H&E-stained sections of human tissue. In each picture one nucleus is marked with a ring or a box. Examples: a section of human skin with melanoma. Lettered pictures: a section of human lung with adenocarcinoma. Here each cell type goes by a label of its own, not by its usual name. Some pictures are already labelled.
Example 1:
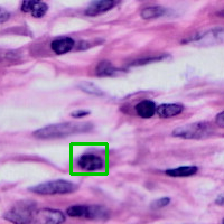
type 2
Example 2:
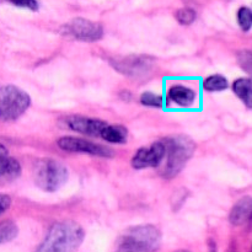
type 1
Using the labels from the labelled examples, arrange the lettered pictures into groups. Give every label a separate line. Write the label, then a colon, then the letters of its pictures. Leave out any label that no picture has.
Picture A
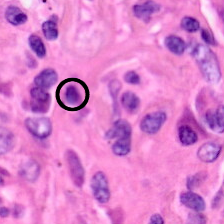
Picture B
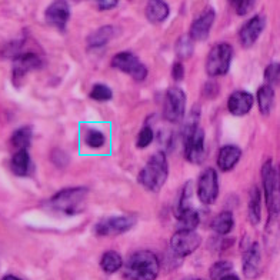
type 2: A
type 1: B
